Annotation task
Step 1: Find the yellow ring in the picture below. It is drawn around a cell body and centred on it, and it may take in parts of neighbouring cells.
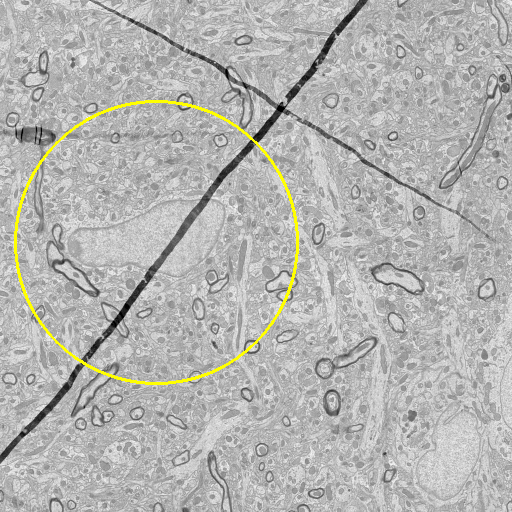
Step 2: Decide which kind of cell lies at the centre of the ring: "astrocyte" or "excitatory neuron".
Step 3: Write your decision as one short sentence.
The kind of cell at the ring's centre is an astrocyte.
